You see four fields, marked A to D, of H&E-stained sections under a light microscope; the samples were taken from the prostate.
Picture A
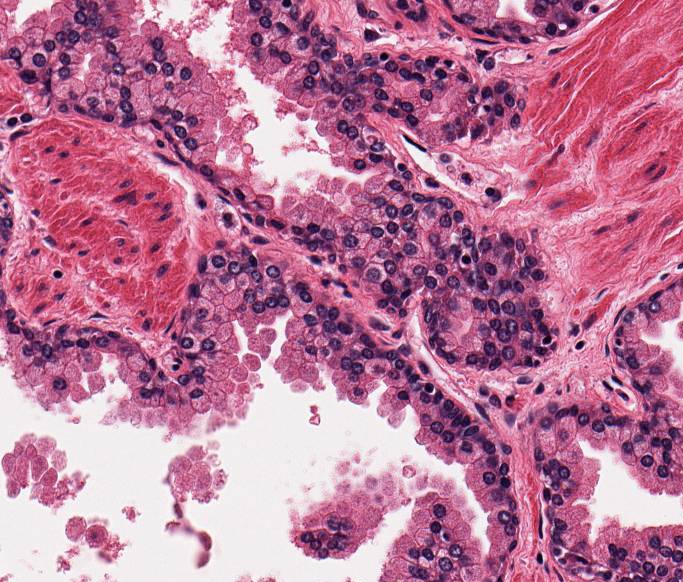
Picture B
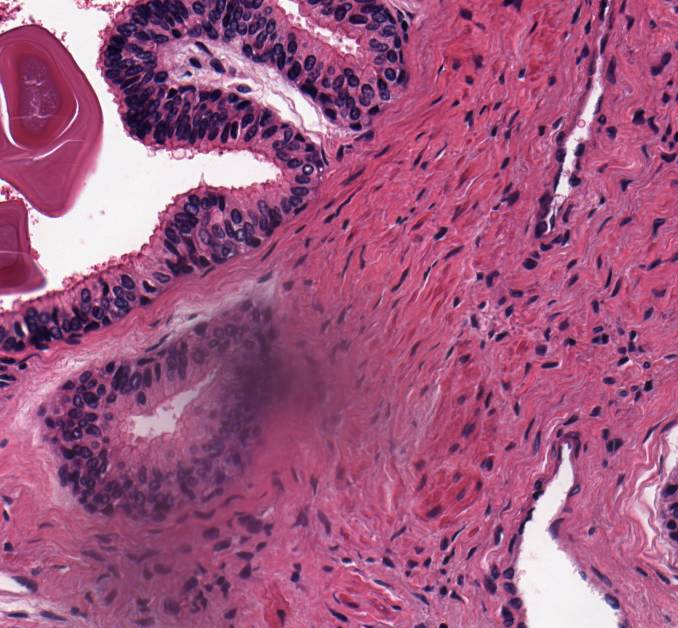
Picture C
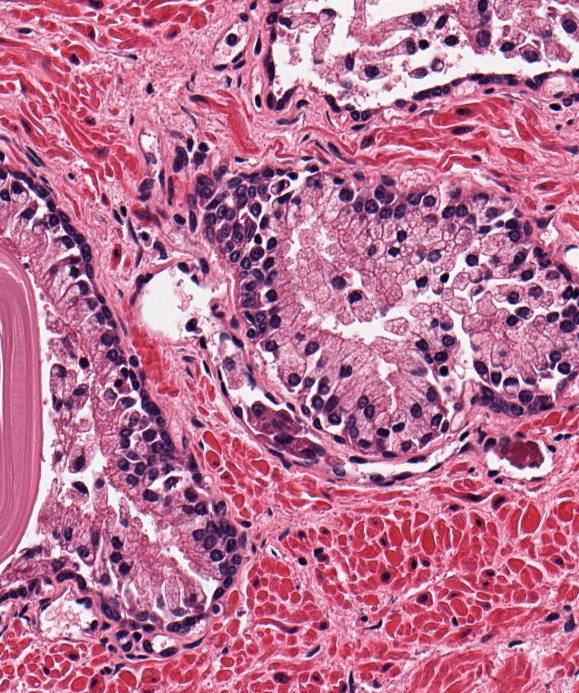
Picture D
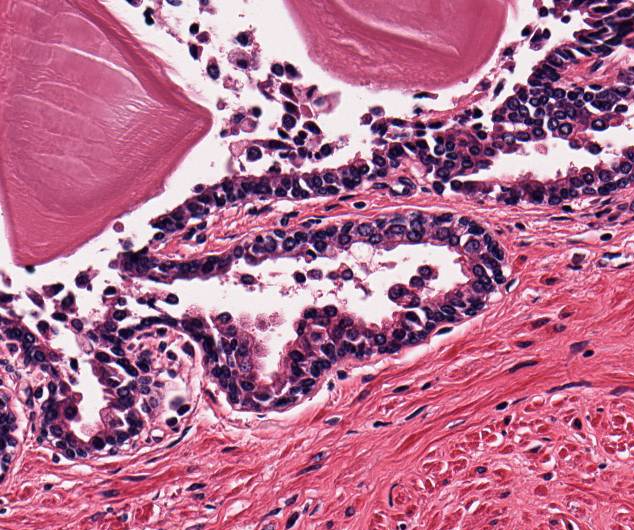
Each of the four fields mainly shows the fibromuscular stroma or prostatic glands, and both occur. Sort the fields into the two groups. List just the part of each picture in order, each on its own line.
prostatic glands
fibromuscular stroma
prostatic glands
prostatic glands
